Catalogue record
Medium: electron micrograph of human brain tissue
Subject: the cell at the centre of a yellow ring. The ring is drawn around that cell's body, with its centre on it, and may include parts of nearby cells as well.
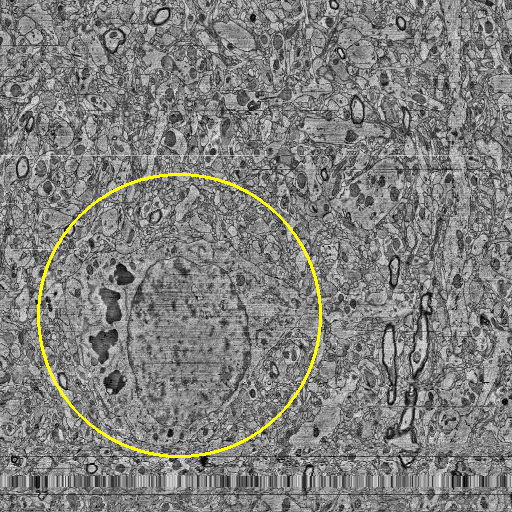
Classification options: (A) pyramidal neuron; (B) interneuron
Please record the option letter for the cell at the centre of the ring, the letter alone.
B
